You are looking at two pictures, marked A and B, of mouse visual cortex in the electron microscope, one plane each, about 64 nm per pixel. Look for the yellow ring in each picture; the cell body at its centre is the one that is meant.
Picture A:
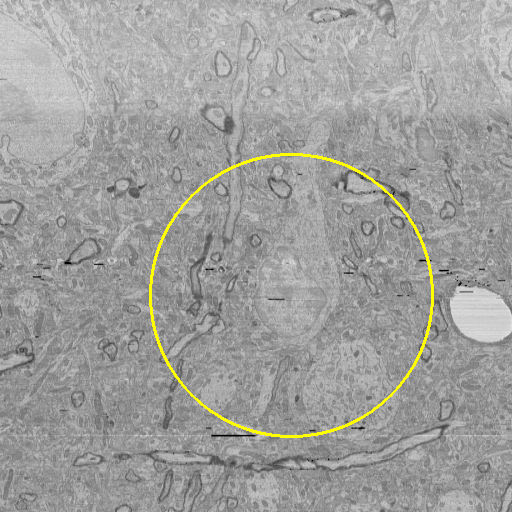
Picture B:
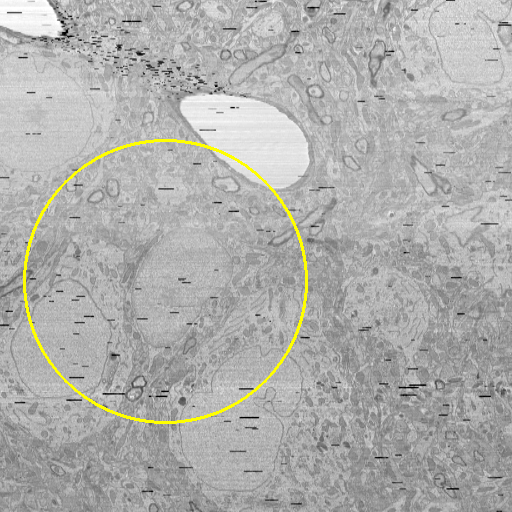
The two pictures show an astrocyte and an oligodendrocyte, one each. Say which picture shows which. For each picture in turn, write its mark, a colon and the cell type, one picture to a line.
A: oligodendrocyte
B: astrocyte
